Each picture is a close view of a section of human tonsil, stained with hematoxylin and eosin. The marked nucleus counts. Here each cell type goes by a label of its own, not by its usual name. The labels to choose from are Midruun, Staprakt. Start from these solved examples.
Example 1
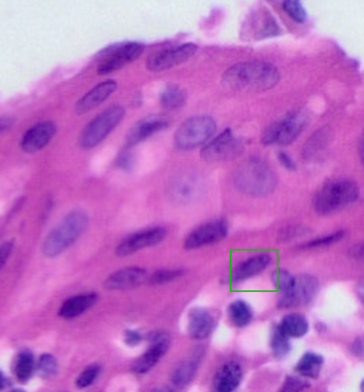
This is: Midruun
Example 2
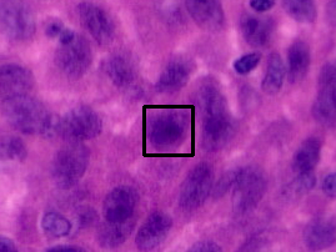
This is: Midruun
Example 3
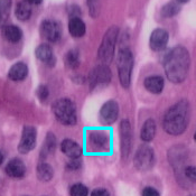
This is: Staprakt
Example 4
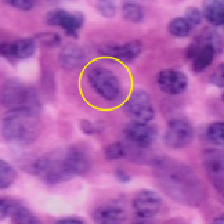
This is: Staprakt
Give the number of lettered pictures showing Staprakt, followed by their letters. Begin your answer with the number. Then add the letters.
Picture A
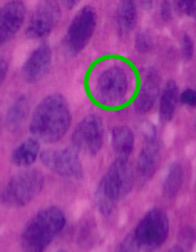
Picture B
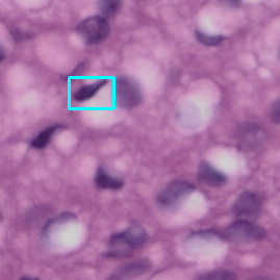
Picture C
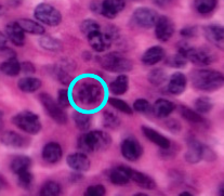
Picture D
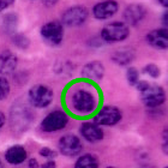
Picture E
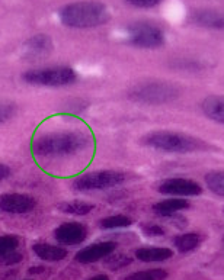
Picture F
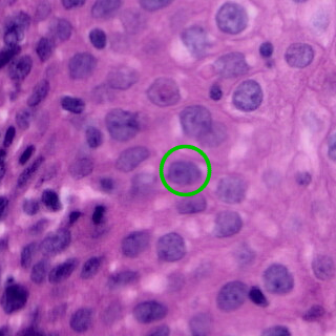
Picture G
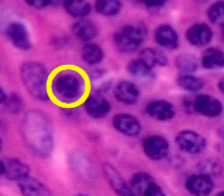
3, namely C, D, G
